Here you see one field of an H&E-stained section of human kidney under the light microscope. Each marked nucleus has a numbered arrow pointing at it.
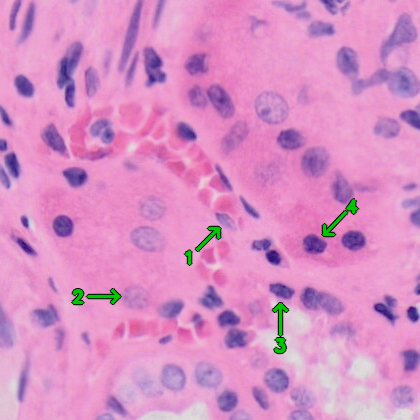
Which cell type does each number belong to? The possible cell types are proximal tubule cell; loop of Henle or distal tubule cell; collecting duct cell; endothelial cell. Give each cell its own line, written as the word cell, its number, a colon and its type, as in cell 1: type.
cell 1: endothelial cell
cell 2: proximal tubule cell
cell 3: loop of Henle or distal tubule cell
cell 4: proximal tubule cell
